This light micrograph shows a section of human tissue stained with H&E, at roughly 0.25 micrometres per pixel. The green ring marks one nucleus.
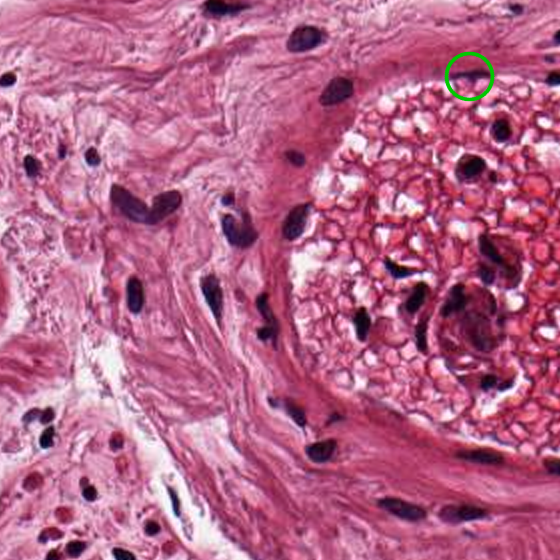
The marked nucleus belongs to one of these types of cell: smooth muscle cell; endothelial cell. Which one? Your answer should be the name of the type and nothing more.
endothelial cell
